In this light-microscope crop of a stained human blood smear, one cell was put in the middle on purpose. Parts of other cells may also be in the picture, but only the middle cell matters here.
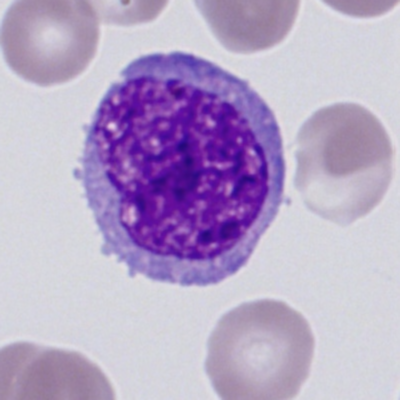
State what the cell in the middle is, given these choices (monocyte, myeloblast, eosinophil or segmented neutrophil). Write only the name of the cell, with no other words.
monocyte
